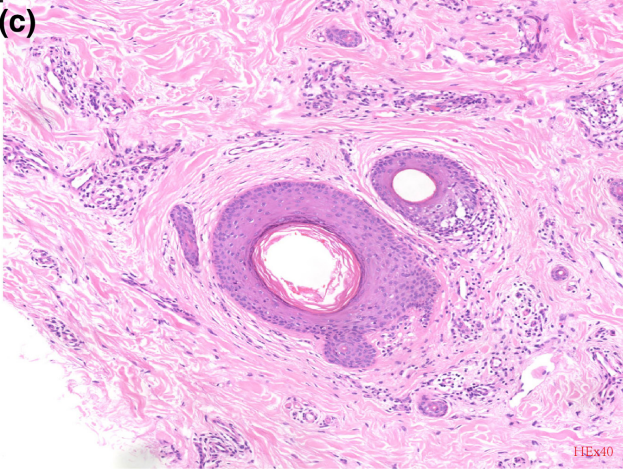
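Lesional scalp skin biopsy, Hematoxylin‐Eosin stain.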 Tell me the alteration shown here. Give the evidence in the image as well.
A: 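Fibrosis. Pale pink collagen bundles are laid down in concentric layers around the central follicle. This fibrous sheath separates the follicle from the surrounding dermis.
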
